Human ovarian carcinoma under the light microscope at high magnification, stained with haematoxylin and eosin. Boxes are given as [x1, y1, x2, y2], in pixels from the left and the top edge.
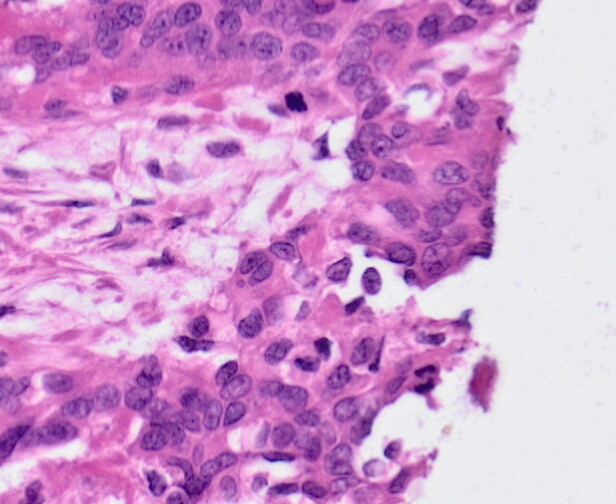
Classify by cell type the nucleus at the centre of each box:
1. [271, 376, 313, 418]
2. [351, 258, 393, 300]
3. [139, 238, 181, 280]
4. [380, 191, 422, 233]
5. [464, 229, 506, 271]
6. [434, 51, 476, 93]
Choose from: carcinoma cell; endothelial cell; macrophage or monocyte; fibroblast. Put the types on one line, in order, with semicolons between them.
carcinoma cell; carcinoma cell; fibroblast; carcinoma cell; carcinoma cell; macrophage or monocyte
